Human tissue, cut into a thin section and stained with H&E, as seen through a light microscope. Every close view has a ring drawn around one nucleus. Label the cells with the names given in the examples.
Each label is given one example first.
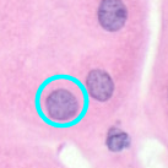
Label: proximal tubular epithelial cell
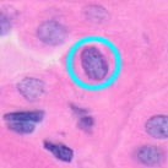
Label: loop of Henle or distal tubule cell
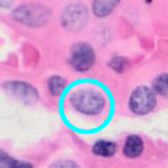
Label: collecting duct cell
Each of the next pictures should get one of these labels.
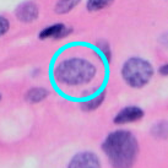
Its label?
collecting duct cell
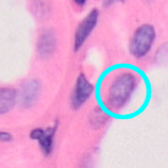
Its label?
loop of Henle or distal tubule cell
